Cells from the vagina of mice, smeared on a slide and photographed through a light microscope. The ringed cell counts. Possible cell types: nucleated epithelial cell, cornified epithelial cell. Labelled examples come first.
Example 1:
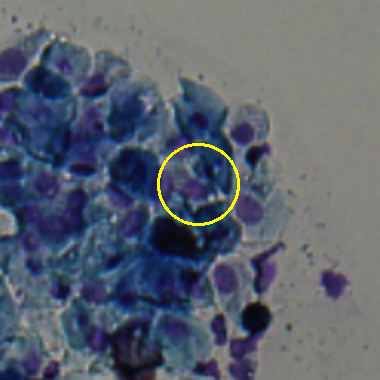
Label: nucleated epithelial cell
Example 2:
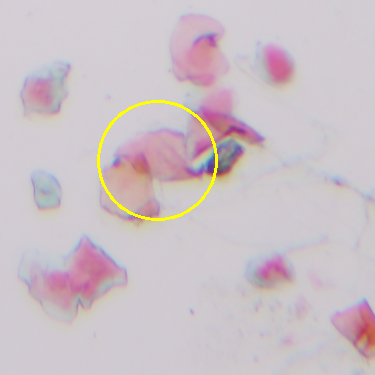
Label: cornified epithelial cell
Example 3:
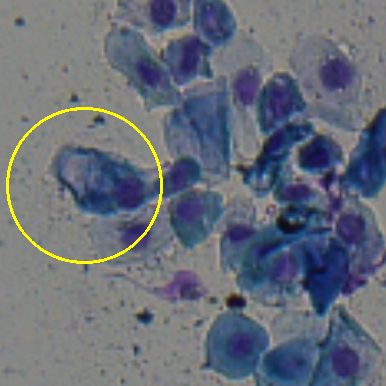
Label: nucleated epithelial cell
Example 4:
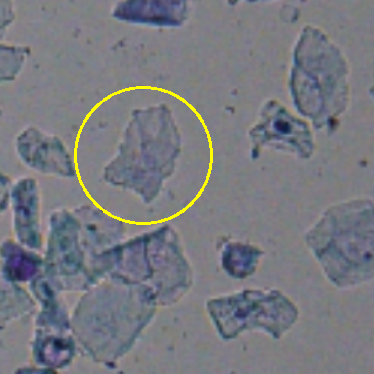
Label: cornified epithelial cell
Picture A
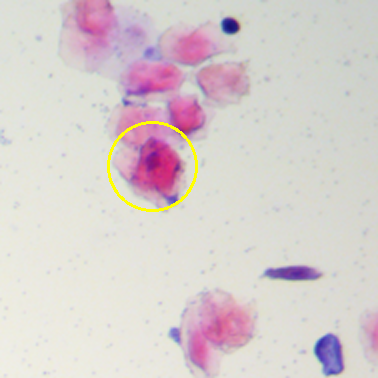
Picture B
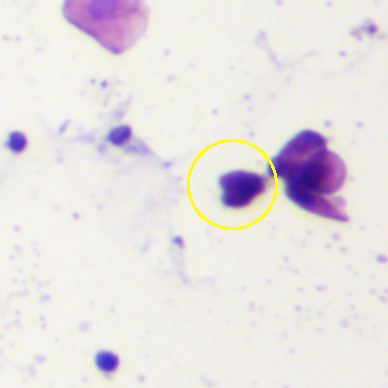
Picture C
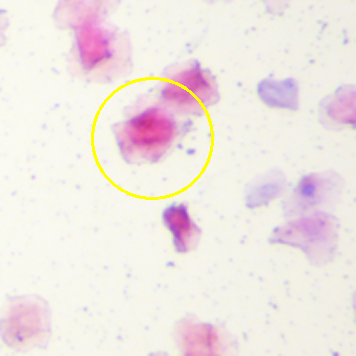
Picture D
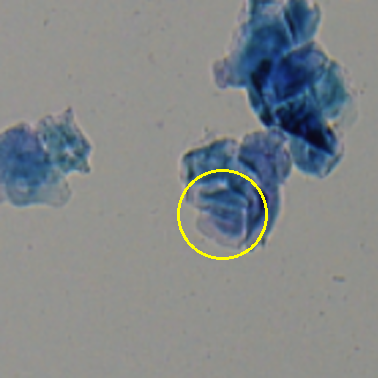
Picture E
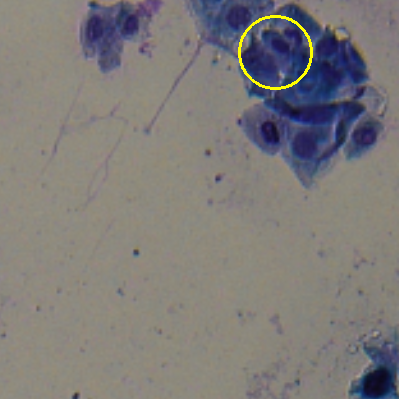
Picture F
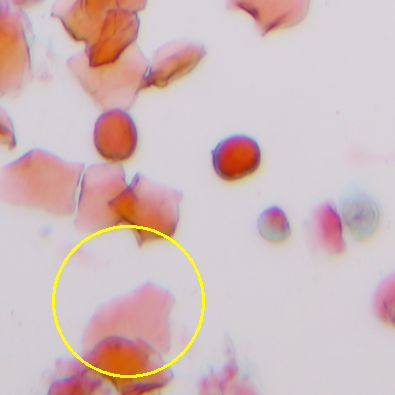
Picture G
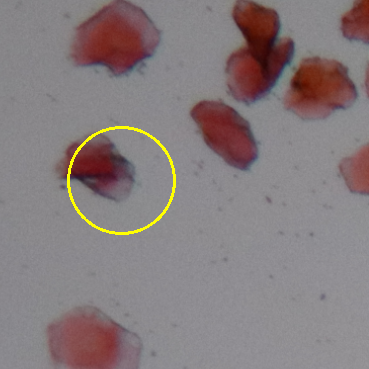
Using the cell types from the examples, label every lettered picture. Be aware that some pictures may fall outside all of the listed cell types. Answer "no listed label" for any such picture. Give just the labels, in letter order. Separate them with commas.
cornified epithelial cell, nucleated epithelial cell, cornified epithelial cell, cornified epithelial cell, nucleated epithelial cell, cornified epithelial cell, cornified epithelial cell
